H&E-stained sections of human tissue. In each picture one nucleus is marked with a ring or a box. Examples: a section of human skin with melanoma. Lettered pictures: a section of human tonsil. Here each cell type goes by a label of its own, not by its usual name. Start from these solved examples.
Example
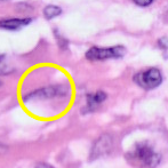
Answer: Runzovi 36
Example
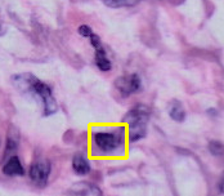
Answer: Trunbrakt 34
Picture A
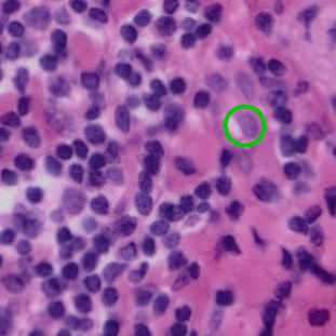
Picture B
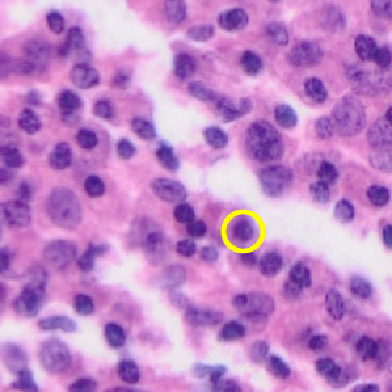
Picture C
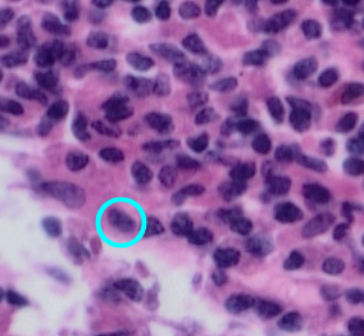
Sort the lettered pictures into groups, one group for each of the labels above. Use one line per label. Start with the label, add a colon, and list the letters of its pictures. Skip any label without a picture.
Runzovi 36: A, C
Trunbrakt 34: B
